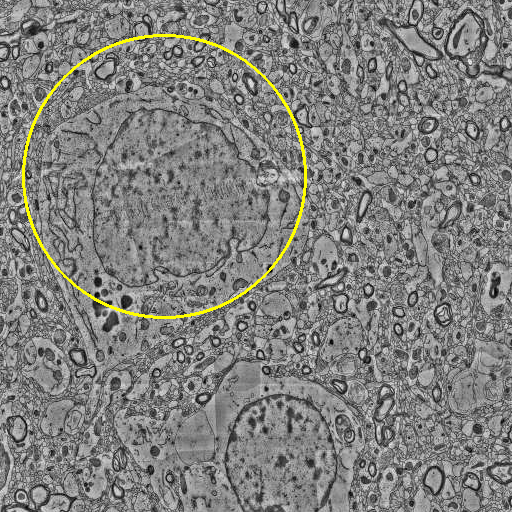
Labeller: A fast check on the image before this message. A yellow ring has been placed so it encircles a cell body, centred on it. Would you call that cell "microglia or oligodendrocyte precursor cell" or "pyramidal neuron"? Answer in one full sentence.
In this image, a pyramidal neuron is the cell on which the yellow ring is centred.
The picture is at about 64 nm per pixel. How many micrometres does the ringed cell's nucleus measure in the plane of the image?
The nucleus of the ringed cell is approximately 11 micrometres across in this plane.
